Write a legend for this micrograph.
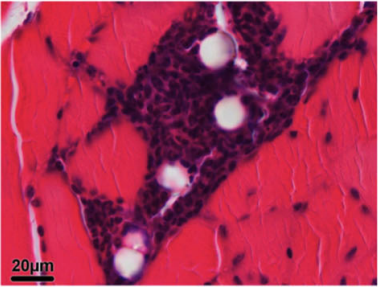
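This is skeletal muscle with pink, eosin-stained fibres surrounding a wide interstitial space packed with a dense pile of cells. The cluster consists of many small, dark purple nuclei crowded closely together, with little visible cytoplasm between them. Several round, sharply outlined clear white spaces lie within and at the edge of the cell pile. The surrounding fibres carry flattened nuclei at their margins.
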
